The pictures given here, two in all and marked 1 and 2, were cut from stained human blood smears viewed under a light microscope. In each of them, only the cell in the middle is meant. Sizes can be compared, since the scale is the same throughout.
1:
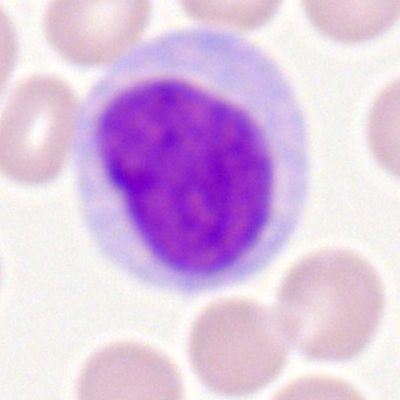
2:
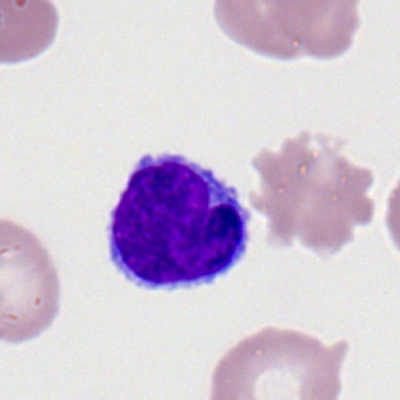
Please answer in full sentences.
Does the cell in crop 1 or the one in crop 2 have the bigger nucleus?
The nucleus in crop 1 is larger, with about 2 times the area of the one in crop 2.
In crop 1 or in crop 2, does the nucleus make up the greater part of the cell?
It is the cell in crop 2 that is filled more by its nucleus.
